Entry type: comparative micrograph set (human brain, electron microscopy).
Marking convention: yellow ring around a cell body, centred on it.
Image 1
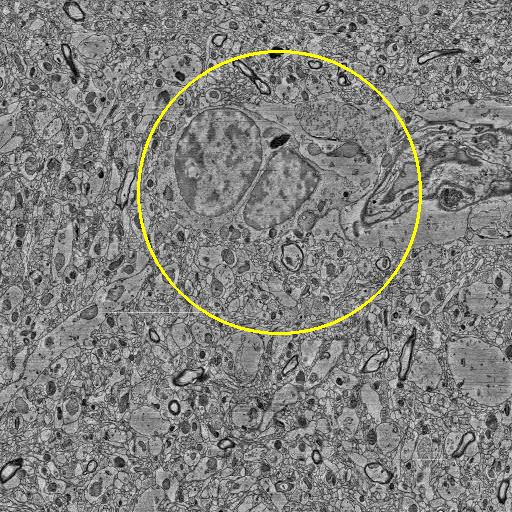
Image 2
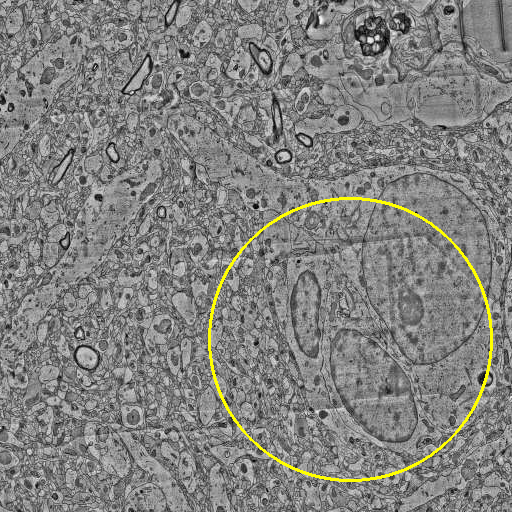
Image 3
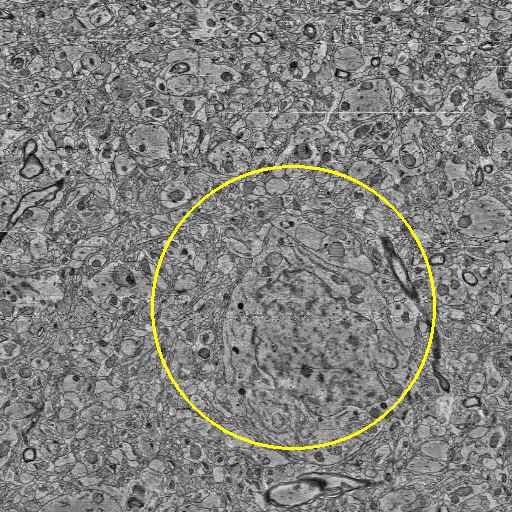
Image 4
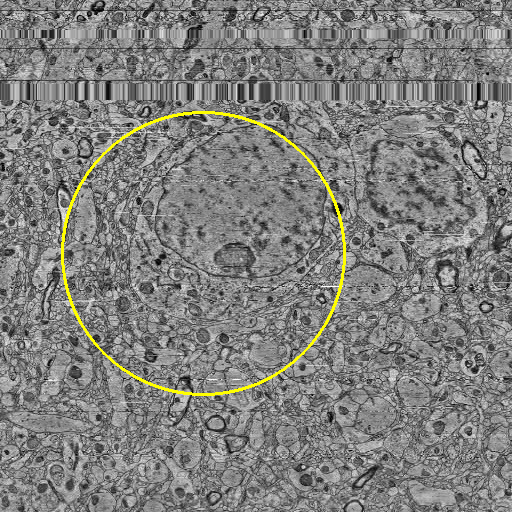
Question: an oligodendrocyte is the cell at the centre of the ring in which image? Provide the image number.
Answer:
1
